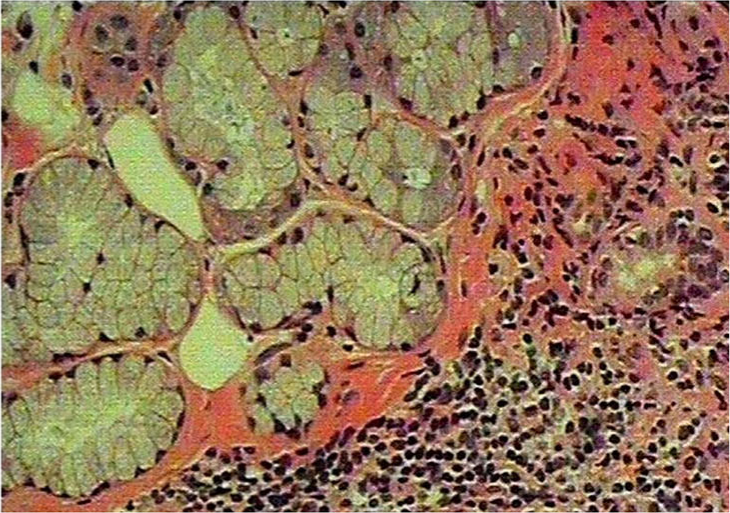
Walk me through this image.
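Salivary gland tissue with pale mucous acini in the upper left, whose cells have foamy cytoplasm and flattened nuclei pressed to the base, separated by thin pink septa and a few dilated duct-like spaces. Toward the lower right, pink fibrous stroma gives way to a dense infiltrate of small round cells with dark, closely packed nuclei.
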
